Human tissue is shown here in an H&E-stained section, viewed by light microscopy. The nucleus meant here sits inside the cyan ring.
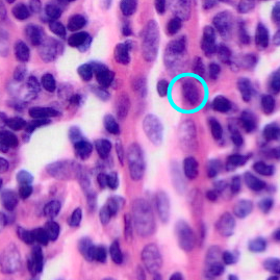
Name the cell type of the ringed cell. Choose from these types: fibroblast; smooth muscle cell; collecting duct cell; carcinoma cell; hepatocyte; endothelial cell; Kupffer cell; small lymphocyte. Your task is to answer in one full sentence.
Speaking plainly, the ringed cell is nothing other than an endothelial cell.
